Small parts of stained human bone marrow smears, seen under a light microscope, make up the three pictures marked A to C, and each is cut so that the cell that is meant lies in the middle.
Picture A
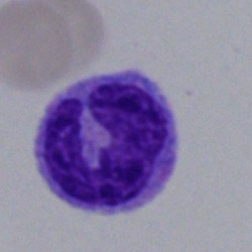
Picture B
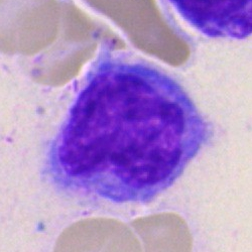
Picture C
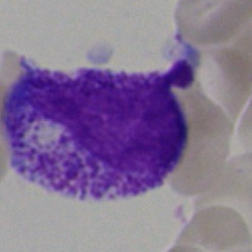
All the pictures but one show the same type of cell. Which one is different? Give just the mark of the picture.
C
